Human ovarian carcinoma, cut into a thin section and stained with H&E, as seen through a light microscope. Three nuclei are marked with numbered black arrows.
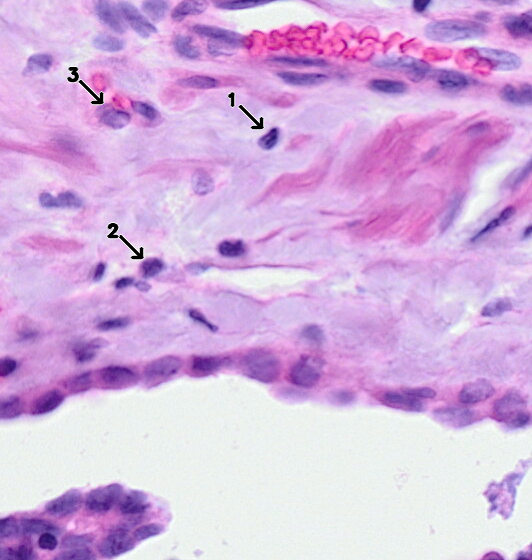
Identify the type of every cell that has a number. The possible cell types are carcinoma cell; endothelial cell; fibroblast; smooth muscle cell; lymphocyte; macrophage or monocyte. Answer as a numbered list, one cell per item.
1. lymphocyte
2. lymphocyte
3. endothelial cell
